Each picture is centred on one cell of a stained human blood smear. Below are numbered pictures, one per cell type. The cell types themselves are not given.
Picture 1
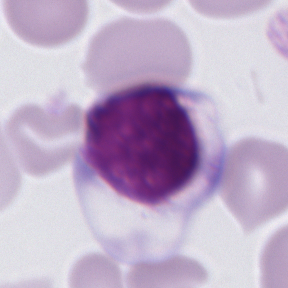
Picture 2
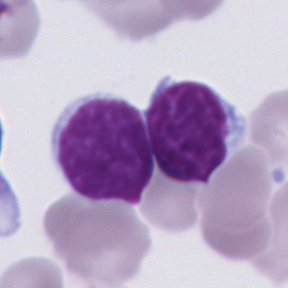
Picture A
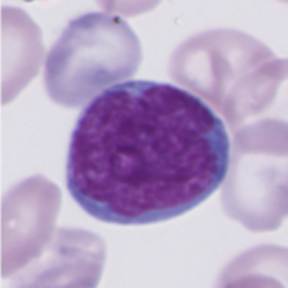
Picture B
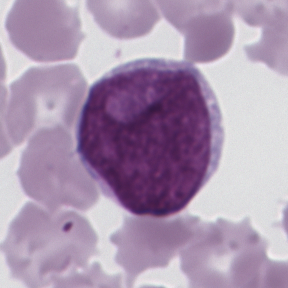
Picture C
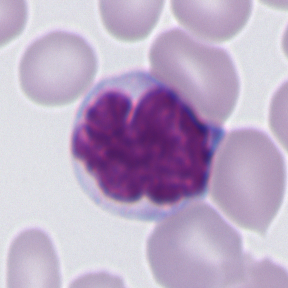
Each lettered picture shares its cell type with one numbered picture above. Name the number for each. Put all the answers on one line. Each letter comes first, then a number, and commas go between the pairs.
A 2, B 2, C 1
